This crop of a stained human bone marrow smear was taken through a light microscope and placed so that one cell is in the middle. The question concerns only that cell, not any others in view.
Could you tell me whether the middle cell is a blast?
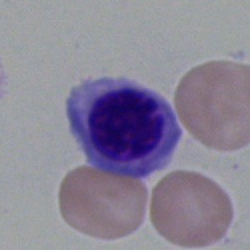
no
